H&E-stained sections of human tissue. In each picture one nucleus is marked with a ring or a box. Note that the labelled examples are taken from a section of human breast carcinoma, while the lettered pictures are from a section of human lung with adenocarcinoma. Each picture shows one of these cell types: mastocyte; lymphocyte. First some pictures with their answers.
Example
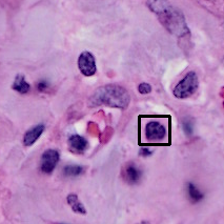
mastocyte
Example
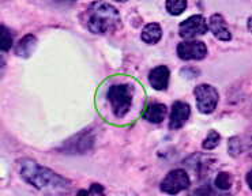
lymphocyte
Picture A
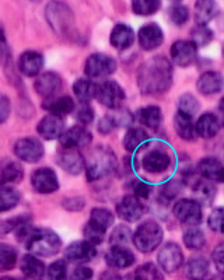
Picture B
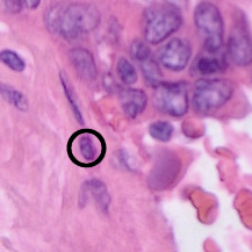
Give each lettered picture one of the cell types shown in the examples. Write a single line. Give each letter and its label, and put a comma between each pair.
A lymphocyte, B mastocyte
